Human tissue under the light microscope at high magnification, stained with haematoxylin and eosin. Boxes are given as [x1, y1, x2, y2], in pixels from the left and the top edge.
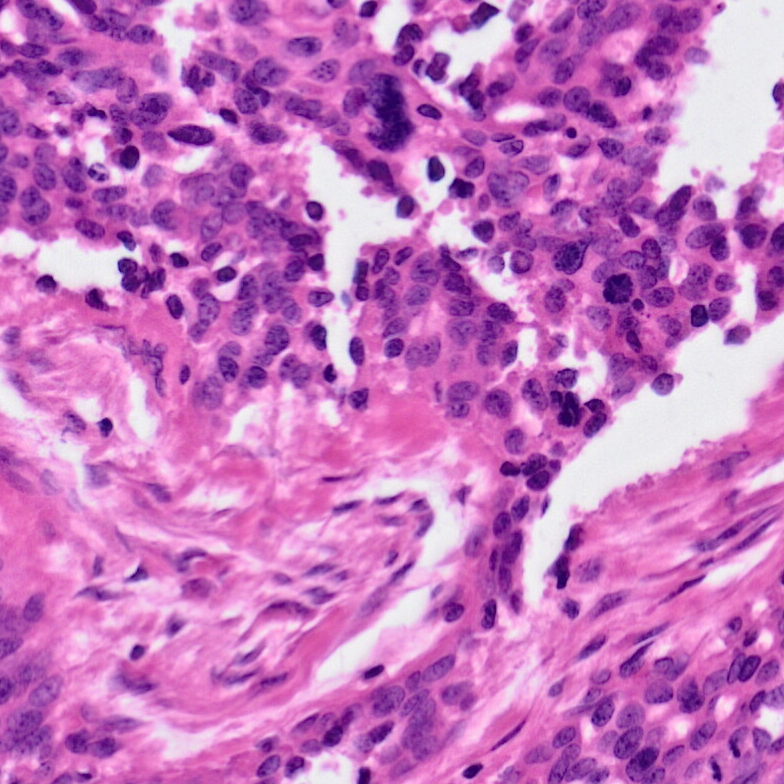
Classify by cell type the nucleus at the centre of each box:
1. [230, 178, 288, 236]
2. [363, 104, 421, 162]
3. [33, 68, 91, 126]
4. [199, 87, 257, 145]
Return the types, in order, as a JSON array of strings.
["carcinoma cell", "carcinoma cell", "macrophage or monocyte", "carcinoma cell"]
